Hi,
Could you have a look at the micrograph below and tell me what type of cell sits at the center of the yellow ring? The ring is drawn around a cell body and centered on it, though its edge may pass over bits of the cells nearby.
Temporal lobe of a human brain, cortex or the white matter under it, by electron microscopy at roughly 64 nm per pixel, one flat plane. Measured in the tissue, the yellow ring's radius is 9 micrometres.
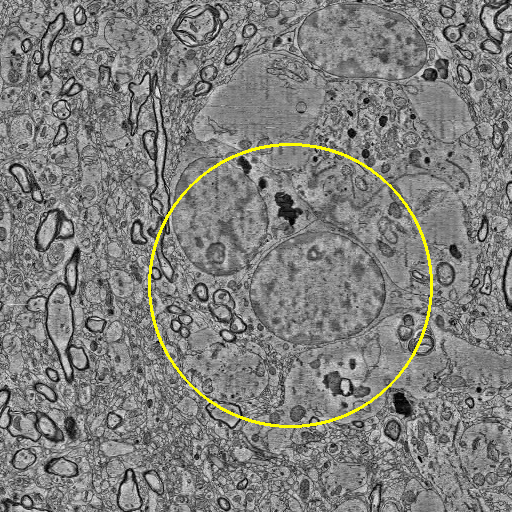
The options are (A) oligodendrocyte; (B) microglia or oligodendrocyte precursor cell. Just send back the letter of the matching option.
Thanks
A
